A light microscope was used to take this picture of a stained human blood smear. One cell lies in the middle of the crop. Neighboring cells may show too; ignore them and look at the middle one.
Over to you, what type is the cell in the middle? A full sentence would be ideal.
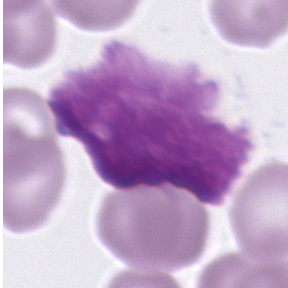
Seen at the centre of the crop is a smudge cell.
